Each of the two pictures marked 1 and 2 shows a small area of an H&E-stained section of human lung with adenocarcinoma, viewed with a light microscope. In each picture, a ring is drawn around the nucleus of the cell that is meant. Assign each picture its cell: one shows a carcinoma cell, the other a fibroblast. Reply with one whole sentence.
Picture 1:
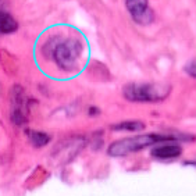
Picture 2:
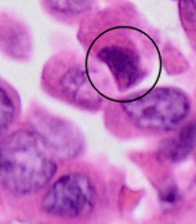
Picture 1 shows a fibroblast and picture 2 shows a carcinoma cell.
